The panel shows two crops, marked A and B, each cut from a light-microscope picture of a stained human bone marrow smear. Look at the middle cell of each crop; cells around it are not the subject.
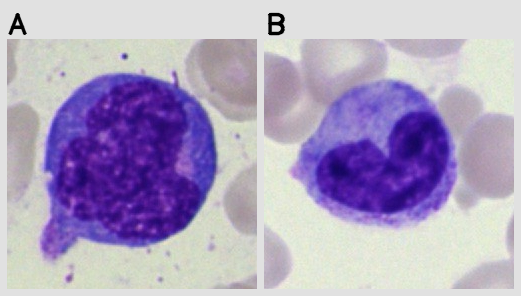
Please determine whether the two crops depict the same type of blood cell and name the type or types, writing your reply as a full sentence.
Yes, the cells that both crops show at the centre are monocytes.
